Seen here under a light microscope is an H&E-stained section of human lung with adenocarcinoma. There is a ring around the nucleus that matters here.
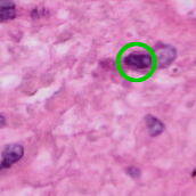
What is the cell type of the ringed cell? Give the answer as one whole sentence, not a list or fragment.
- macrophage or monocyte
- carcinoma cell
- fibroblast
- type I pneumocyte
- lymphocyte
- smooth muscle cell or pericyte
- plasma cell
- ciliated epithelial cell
As far as its identity is concerned, the ringed cell is a plasma cell.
